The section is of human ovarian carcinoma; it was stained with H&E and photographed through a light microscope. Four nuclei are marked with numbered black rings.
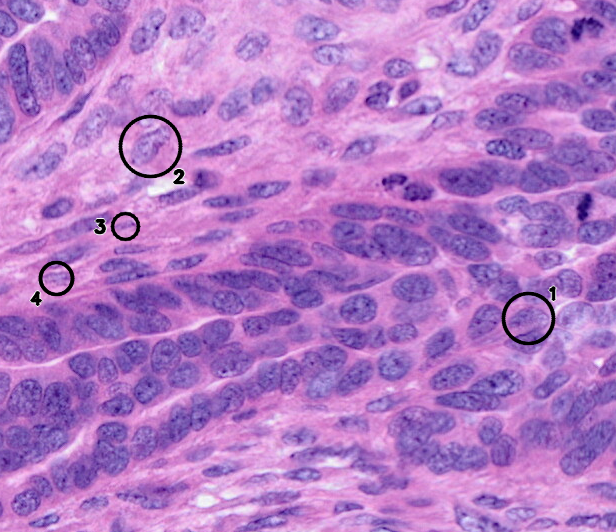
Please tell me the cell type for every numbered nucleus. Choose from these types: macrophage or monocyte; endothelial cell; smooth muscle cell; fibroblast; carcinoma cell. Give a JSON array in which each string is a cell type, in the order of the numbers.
["carcinoma cell", "fibroblast", "fibroblast", "fibroblast"]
